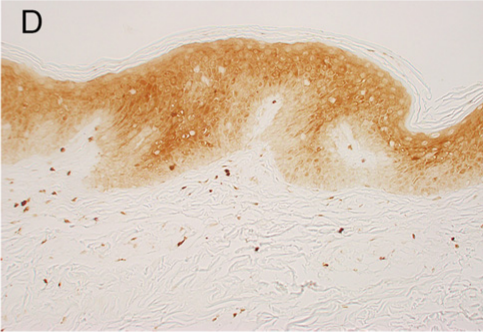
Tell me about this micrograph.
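This is a section of skin whose epidermis is thick and stained brown throughout its layers of keratinocytes, with broad ridges reaching down into the dermis. A thin, pale, layered stratum corneum lies on top, and some scattered cells within the epidermis appear pale against the brown. In the pale dermis below, small scattered cells are stained dark brown.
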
